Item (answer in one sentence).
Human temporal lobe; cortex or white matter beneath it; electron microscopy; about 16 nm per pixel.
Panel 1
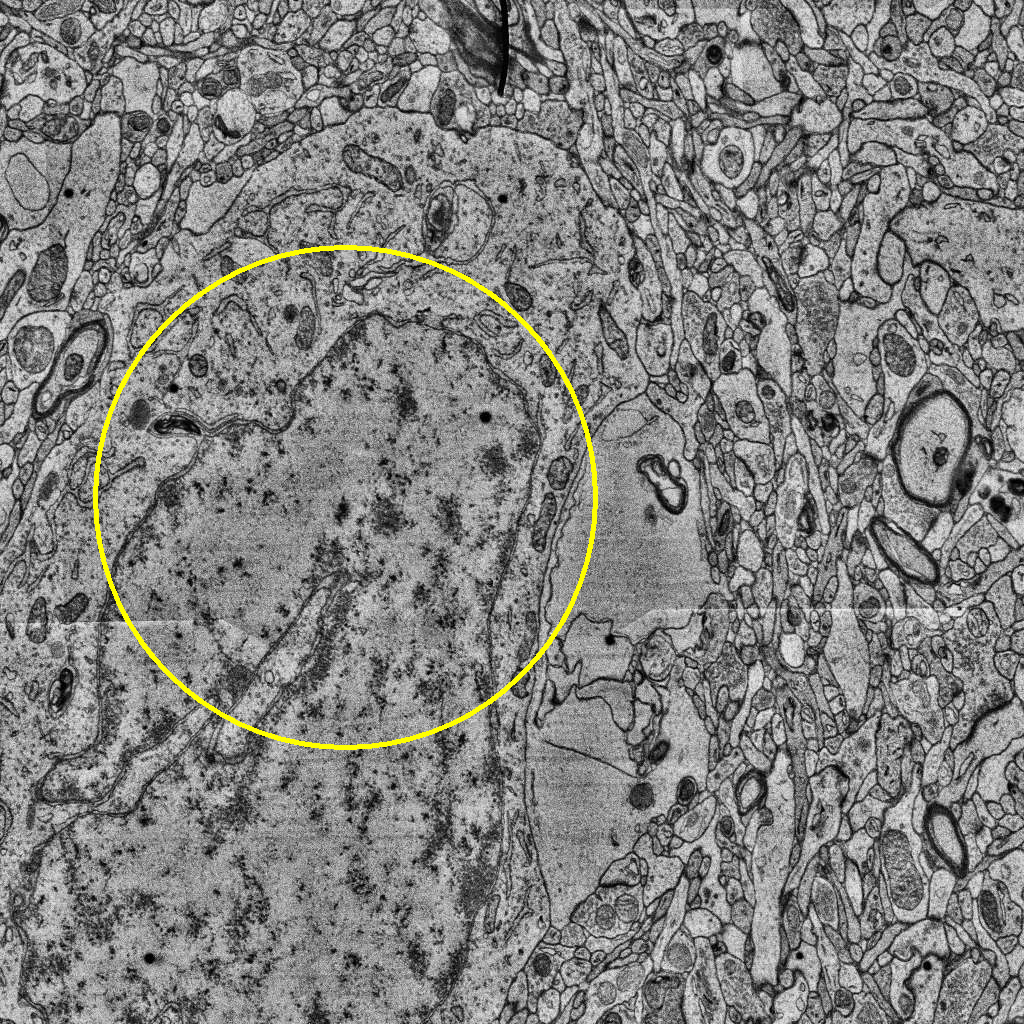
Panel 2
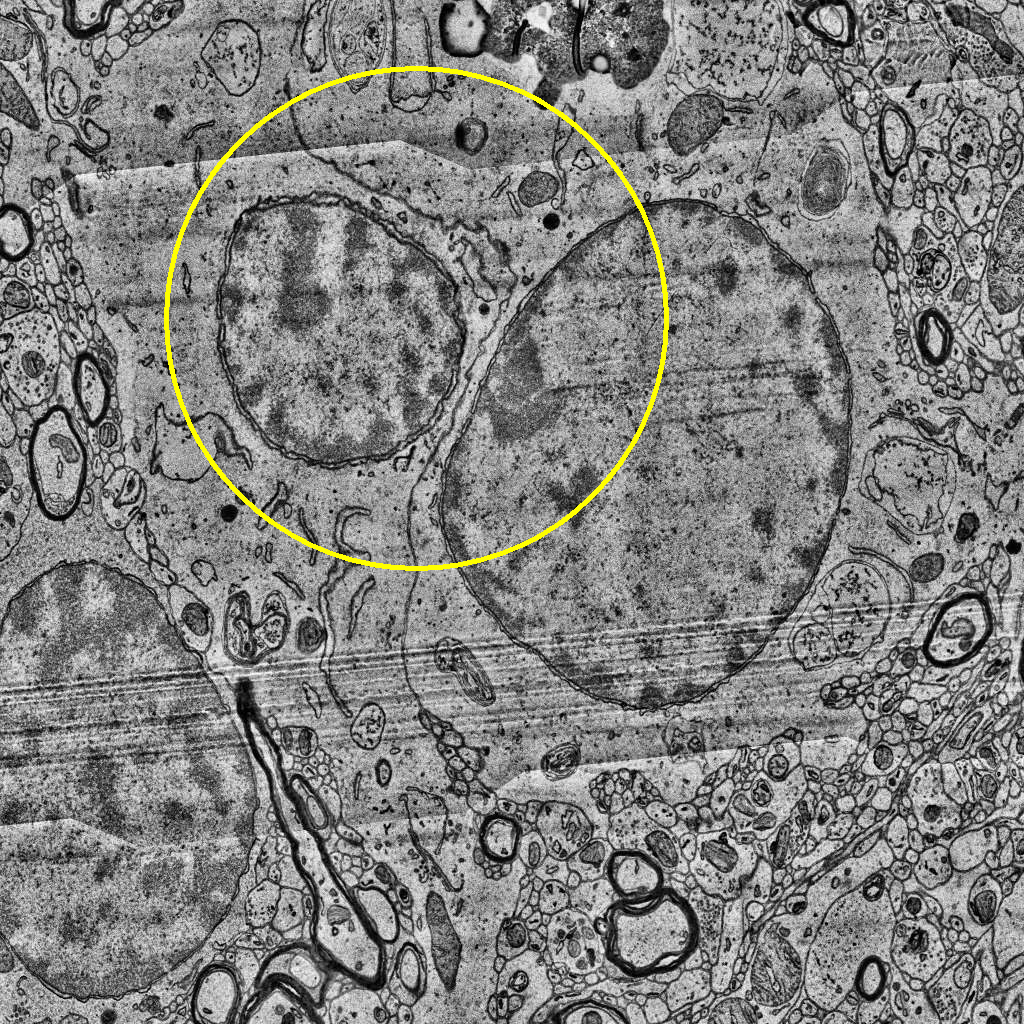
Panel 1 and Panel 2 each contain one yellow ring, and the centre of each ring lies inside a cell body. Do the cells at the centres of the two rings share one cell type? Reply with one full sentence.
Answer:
No, Panel 1 and Panel 2 show cells of two types at the centres of their rings.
